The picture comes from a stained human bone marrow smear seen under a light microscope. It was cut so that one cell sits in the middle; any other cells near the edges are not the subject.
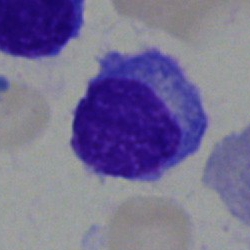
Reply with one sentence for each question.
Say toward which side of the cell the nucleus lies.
The nucleus is pushed toward the lower left of the cell.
